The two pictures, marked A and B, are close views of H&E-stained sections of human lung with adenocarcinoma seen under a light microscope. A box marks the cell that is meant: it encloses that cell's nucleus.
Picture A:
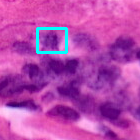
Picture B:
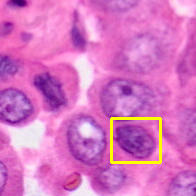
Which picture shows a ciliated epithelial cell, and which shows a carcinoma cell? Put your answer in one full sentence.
Picture B shows a carcinoma cell, while picture A shows a ciliated epithelial cell.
